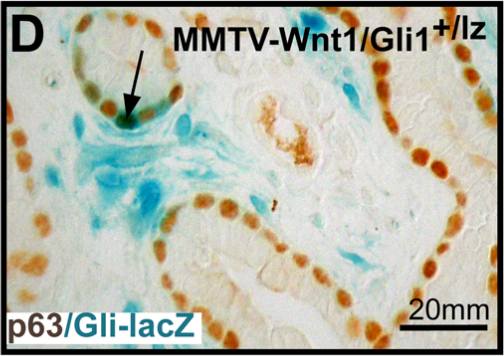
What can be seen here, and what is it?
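Section of a mammary tumor with glandular structures whose outer layer is made of cells with brown-stained nuclei in a regular row. Between the glands lies stroma holding elongated, irregular cells stained blue. One cell in the outer layer of a gland shows both blue and brown staining.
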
